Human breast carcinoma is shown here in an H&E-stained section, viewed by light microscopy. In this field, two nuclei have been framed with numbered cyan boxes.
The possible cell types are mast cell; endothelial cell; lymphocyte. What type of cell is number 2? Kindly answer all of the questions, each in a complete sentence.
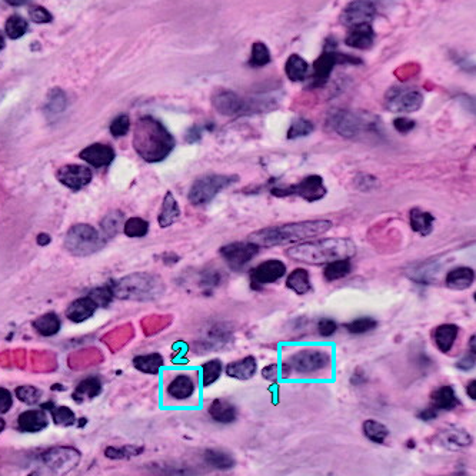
Of the numbered cells, the one labelled 2 is a lymphocyte.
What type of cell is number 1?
Cell 1 is classified as a mast cell.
